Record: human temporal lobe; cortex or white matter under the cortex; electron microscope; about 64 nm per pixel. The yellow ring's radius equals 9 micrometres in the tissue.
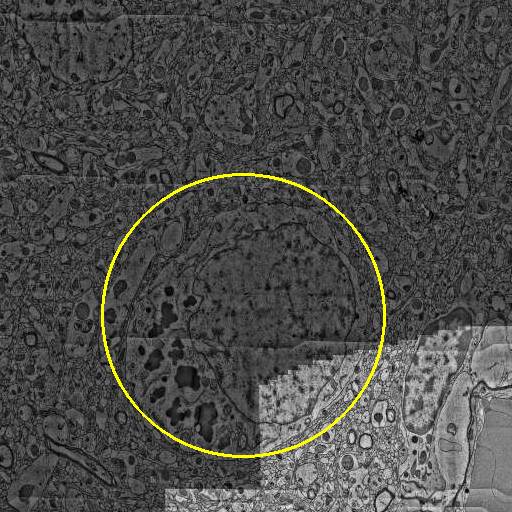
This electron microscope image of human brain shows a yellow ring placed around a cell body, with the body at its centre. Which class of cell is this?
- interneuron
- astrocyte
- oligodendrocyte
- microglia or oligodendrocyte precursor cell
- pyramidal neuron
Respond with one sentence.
The cell body at the ring's centre is an interneuron.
